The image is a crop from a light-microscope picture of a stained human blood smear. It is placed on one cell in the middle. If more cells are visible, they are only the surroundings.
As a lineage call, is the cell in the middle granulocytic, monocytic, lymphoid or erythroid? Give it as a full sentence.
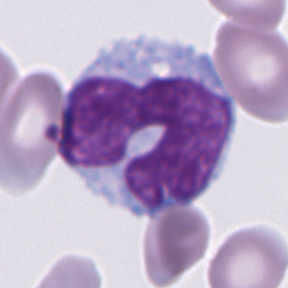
Placed within the monocytic lineage is the cell in the middle.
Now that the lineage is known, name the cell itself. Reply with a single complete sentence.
The cell of interest, located centrally, is a monocyte.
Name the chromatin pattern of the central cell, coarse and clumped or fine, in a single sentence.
The chromatin remains finely textured, with no coarse clumps to speak of.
